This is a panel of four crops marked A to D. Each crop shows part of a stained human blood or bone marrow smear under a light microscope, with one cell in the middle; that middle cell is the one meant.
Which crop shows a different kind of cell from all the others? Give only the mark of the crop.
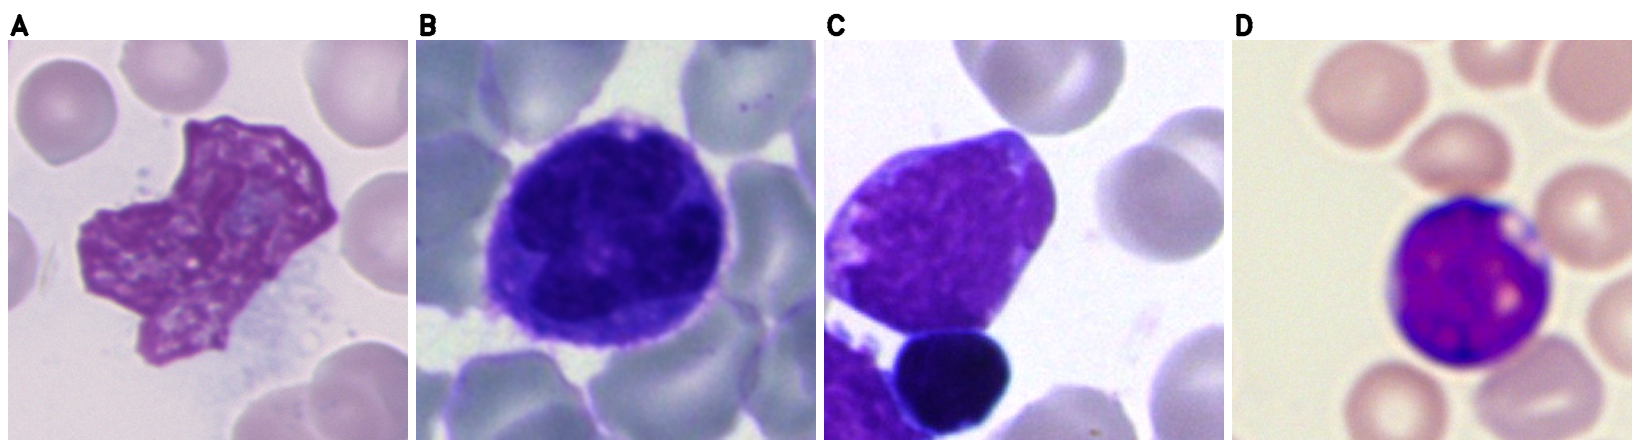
B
